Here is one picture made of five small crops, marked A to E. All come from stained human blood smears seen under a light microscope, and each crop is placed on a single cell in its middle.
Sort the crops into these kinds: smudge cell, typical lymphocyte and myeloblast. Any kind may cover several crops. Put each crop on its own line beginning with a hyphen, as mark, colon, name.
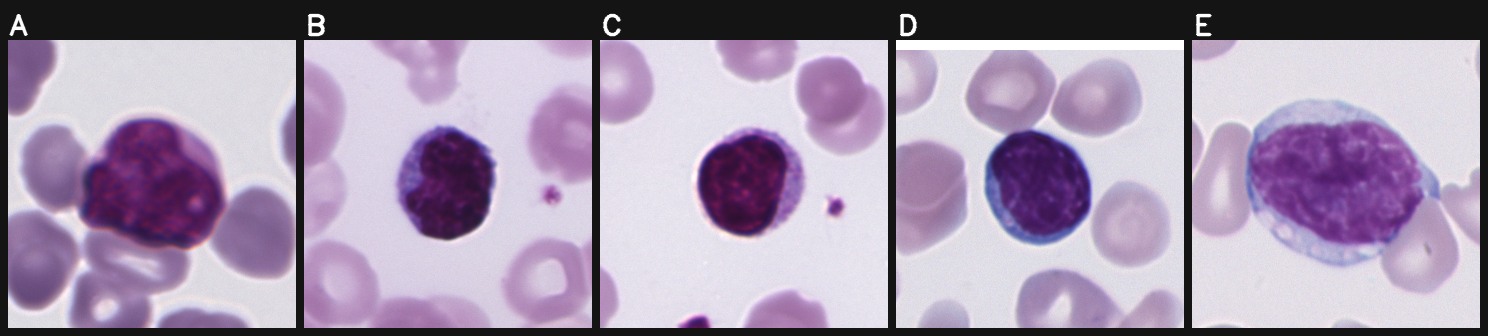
- A: myeloblast
- B: typical lymphocyte
- C: typical lymphocyte
- D: typical lymphocyte
- E: myeloblast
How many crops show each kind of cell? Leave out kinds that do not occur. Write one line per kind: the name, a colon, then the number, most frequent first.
typical lymphocyte: 3
myeloblast: 2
